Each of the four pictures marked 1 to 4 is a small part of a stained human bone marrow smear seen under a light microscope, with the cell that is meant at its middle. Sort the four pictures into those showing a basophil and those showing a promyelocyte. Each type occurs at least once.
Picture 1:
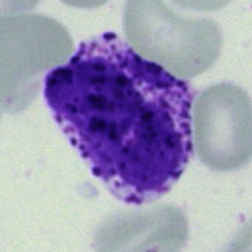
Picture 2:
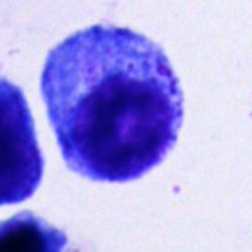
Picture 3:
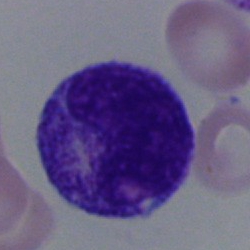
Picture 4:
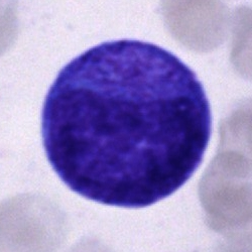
1: basophil
2: promyelocyte
3: promyelocyte
4: promyelocyte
